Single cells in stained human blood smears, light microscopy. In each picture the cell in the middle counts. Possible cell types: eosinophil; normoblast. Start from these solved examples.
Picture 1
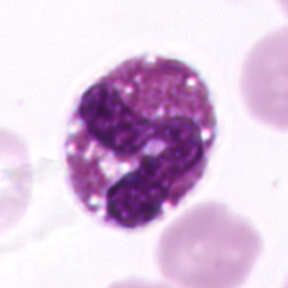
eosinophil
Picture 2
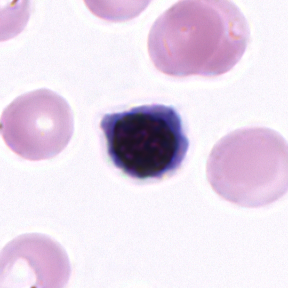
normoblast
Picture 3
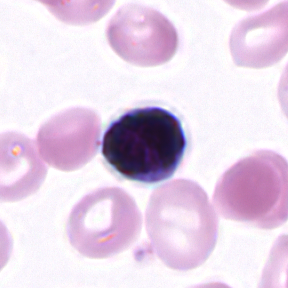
normoblast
